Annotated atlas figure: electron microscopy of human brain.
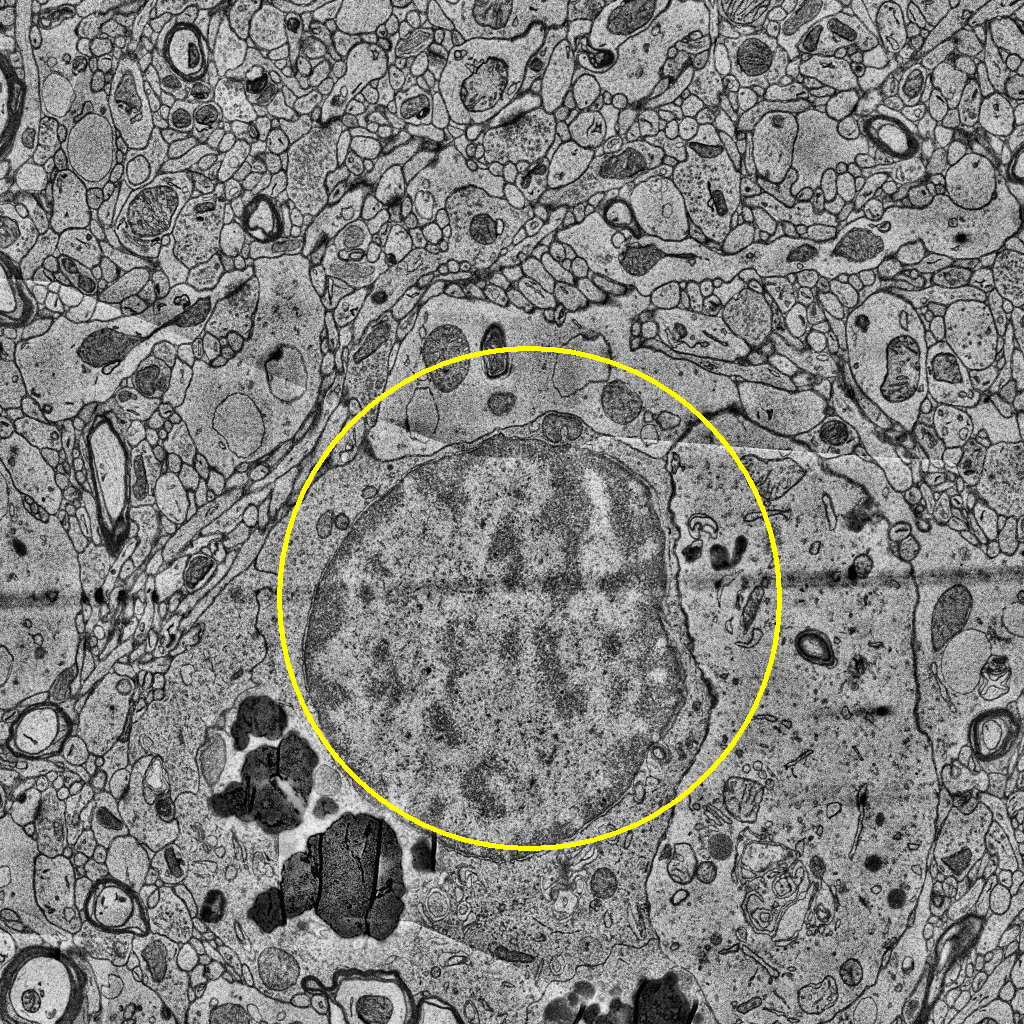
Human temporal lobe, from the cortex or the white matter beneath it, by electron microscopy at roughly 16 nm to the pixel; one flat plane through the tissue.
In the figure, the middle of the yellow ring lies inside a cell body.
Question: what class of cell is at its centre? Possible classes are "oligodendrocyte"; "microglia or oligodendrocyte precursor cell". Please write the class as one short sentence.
The yellow ring's centre lies in an oligodendrocyte.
